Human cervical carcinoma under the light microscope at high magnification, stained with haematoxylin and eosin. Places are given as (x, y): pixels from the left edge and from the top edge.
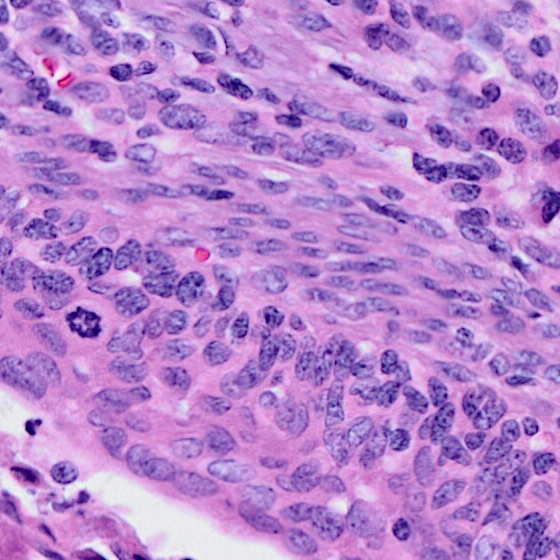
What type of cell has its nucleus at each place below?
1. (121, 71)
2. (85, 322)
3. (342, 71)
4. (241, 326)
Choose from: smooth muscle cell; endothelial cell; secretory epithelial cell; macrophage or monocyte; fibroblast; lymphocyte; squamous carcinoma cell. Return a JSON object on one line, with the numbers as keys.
{"1": "lymphocyte", "2": "squamous carcinoma cell", "3": "lymphocyte", "4": "squamous carcinoma cell"}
